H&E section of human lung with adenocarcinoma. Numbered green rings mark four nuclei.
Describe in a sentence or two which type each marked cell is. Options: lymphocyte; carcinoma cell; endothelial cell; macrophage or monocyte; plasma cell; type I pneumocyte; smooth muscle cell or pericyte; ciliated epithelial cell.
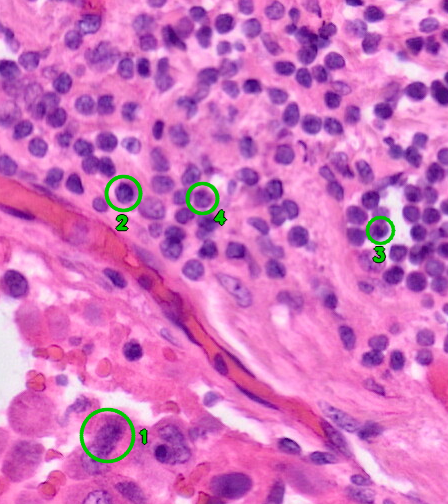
Cell 1 is a carcinoma cell. Cells 2, 3 and 4 are lymphocytes.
